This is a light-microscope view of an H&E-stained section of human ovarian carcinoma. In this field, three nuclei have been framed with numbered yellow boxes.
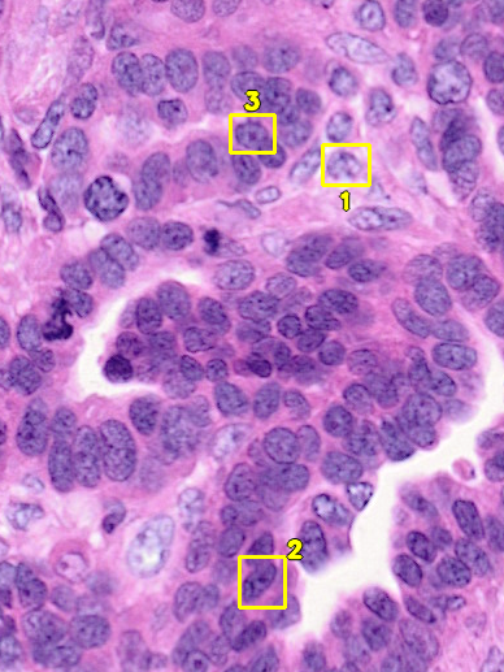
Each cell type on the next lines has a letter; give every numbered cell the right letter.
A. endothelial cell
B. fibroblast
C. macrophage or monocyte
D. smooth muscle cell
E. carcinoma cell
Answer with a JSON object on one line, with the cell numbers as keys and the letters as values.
{"1": "B", "2": "E", "3": "E"}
